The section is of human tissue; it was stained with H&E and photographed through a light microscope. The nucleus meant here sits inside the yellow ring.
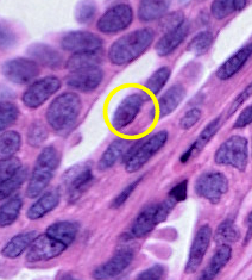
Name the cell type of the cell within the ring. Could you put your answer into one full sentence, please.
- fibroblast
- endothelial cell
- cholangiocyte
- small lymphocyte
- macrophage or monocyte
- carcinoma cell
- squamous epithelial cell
In this field of tissue, the cell within the ring is a carcinoma cell.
